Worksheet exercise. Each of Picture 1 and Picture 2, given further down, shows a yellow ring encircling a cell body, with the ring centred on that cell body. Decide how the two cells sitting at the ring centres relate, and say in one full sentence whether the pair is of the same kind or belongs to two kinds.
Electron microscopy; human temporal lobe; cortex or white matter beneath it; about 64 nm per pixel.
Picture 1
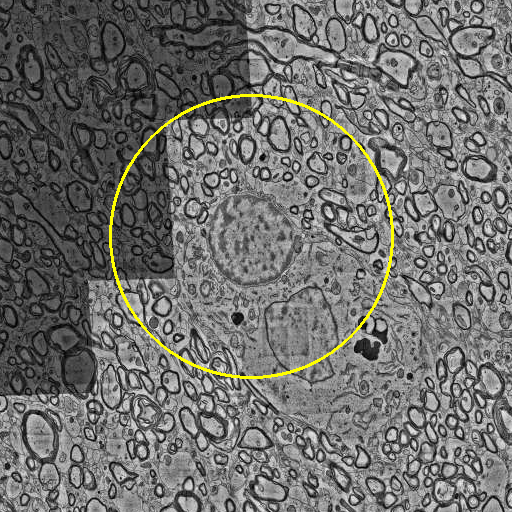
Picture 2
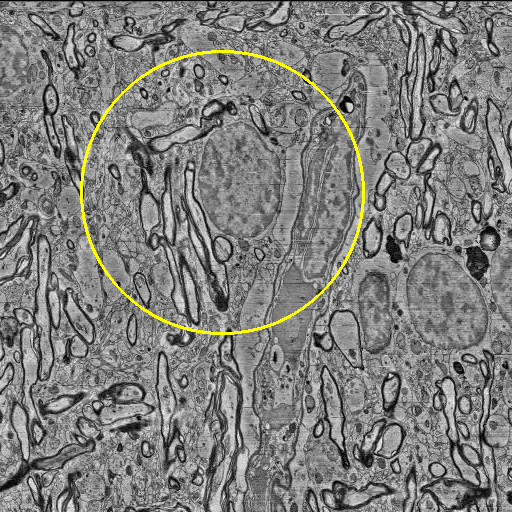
The cells at the ring centres in Picture 1 and Picture 2 are of the same kind.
